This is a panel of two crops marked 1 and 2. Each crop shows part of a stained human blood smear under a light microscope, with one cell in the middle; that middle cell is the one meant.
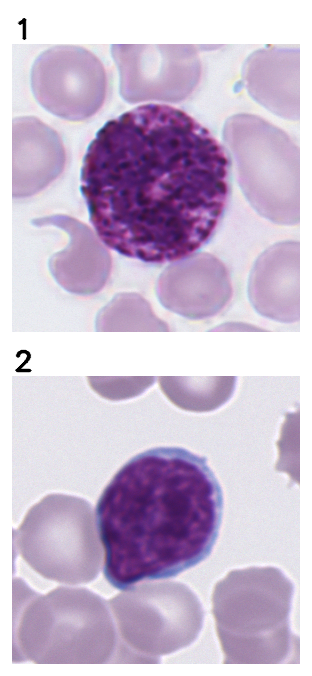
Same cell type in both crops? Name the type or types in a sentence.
No, crop 1 contains a basophil; a typical lymphocyte is what crop 2 contains.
